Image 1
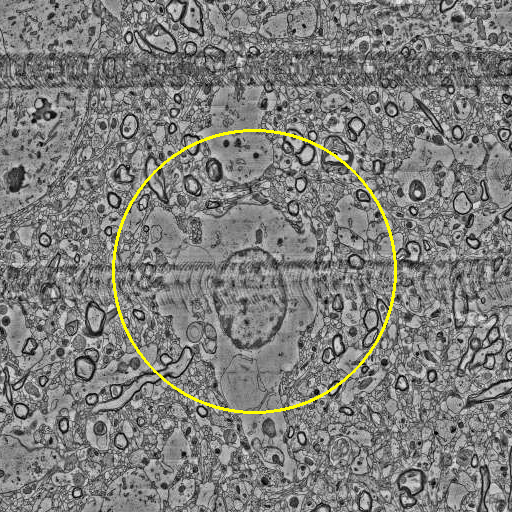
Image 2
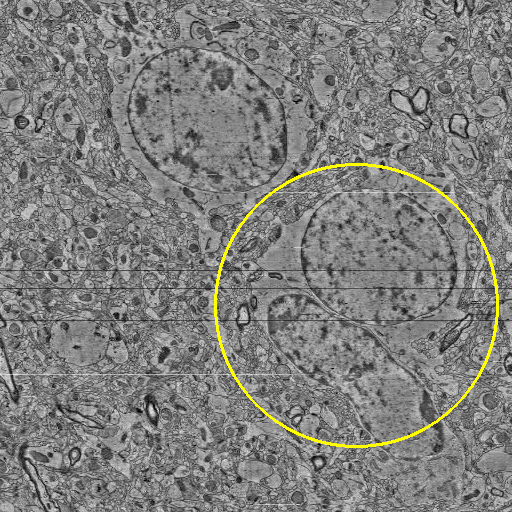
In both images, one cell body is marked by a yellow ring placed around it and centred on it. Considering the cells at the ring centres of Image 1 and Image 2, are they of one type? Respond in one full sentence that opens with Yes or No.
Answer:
Yes, a single type applies to the ring-centred cells of both Image 1 and Image 2.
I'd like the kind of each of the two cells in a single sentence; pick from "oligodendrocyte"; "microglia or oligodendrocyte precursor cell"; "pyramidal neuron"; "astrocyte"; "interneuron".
Each of the ringed cells, first and second, is an astrocyte.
